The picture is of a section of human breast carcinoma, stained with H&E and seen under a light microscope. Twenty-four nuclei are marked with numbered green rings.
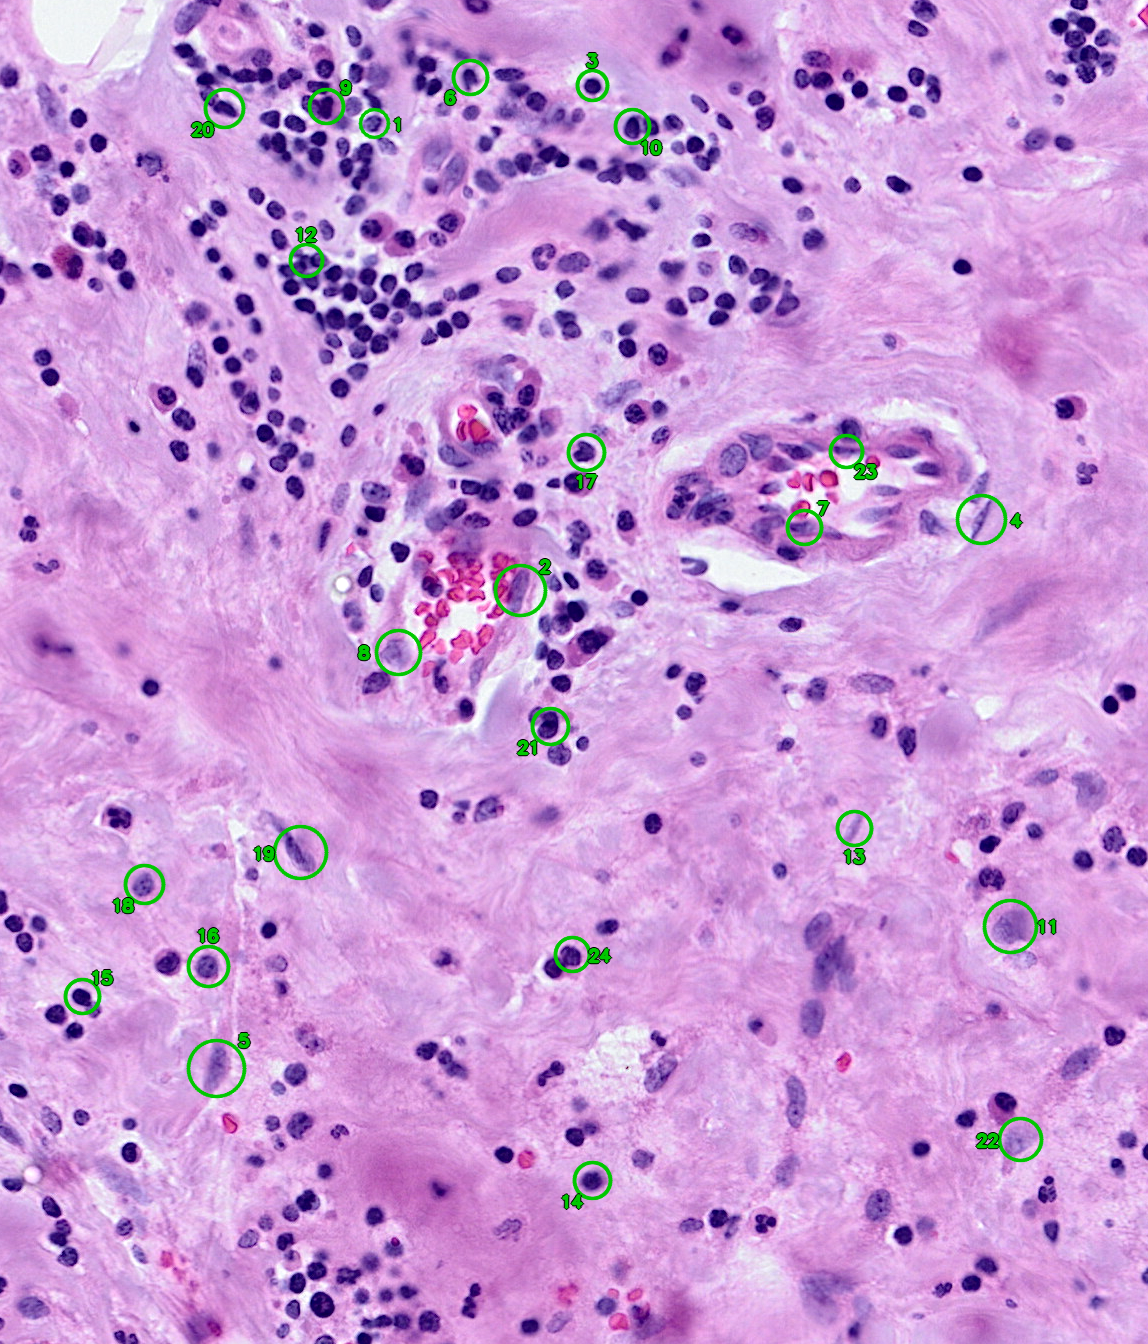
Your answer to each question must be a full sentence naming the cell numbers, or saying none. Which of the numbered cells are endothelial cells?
As for the cells numbered 2, 7, 8 and 23, they are endothelial cells.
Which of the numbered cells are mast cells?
The cells numbered 16 and 18 are of one kind: mast cells.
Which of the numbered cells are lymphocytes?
Here, the cells that carry numbers 1, 3, 6, 9, 10, 12, 14, 15, 17, 20, 21 and 24 are lymphocytes.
